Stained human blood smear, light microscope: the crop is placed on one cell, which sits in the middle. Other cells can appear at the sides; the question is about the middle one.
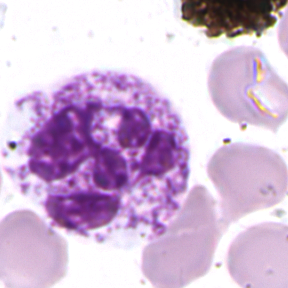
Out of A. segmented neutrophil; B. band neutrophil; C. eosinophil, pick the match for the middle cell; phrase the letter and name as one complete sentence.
The central cell is a segmented neutrophil, which makes option A the right answer.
